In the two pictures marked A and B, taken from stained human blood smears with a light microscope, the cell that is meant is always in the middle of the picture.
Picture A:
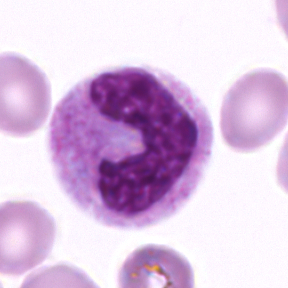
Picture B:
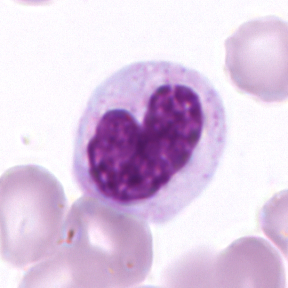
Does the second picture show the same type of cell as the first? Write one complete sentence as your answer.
Yes, the two pictures both show band neutrophils.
